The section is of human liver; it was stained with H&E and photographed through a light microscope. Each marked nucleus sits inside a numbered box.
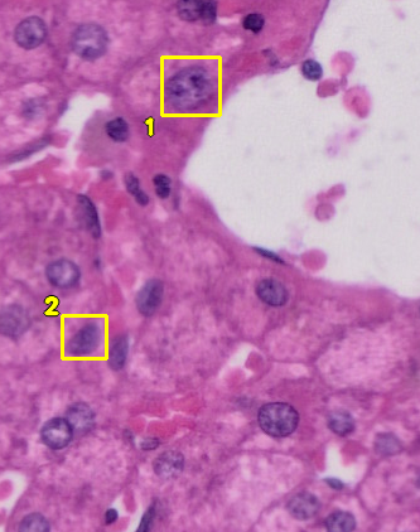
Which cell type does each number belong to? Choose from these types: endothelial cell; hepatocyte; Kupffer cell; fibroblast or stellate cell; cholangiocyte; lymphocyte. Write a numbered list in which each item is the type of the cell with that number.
1. hepatocyte
2. endothelial cell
